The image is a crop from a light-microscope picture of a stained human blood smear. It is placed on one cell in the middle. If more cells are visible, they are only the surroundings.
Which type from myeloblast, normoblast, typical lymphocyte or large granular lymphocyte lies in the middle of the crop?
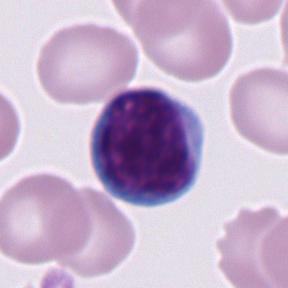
typical lymphocyte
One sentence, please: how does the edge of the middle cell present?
Its outline is smooth, with no projections anywhere along the edge.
